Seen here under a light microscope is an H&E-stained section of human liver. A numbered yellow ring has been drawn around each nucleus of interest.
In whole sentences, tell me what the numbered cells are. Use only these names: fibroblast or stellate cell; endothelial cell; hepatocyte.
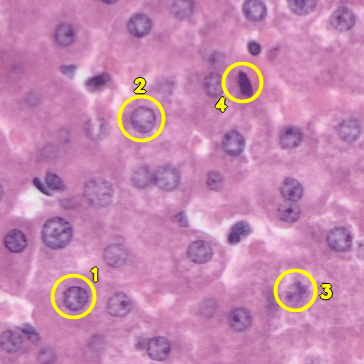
Cell 1 is a hepatocyte, cell 2 is a hepatocyte, cell 3 is a hepatocyte and cell 4 is a fibroblast or stellate cell.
